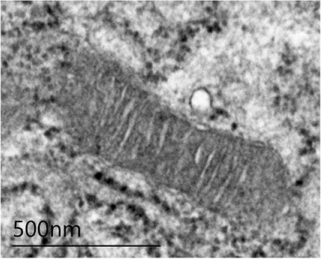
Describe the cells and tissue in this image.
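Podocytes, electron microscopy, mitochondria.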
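The interior is darker than the surrounding cytoplasm and is crossed by pale transverse cristae arranged more or less in parallel. A small round clear vesicle sits near its upper edge. Dark granular clusters are scattered in the cytoplasm around it.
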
